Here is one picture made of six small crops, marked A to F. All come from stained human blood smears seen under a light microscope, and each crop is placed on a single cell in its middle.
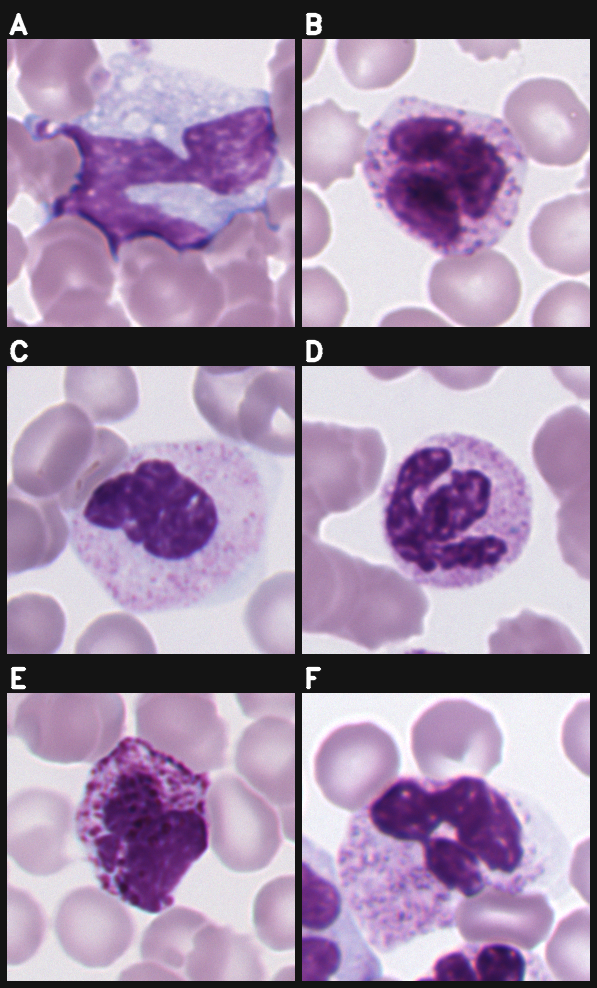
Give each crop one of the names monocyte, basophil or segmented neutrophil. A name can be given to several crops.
A: monocyte
B: basophil
C: segmented neutrophil
D: segmented neutrophil
E: basophil
F: segmented neutrophil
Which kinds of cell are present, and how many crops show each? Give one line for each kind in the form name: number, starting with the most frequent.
segmented neutrophil: 3
basophil: 2
monocyte: 1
